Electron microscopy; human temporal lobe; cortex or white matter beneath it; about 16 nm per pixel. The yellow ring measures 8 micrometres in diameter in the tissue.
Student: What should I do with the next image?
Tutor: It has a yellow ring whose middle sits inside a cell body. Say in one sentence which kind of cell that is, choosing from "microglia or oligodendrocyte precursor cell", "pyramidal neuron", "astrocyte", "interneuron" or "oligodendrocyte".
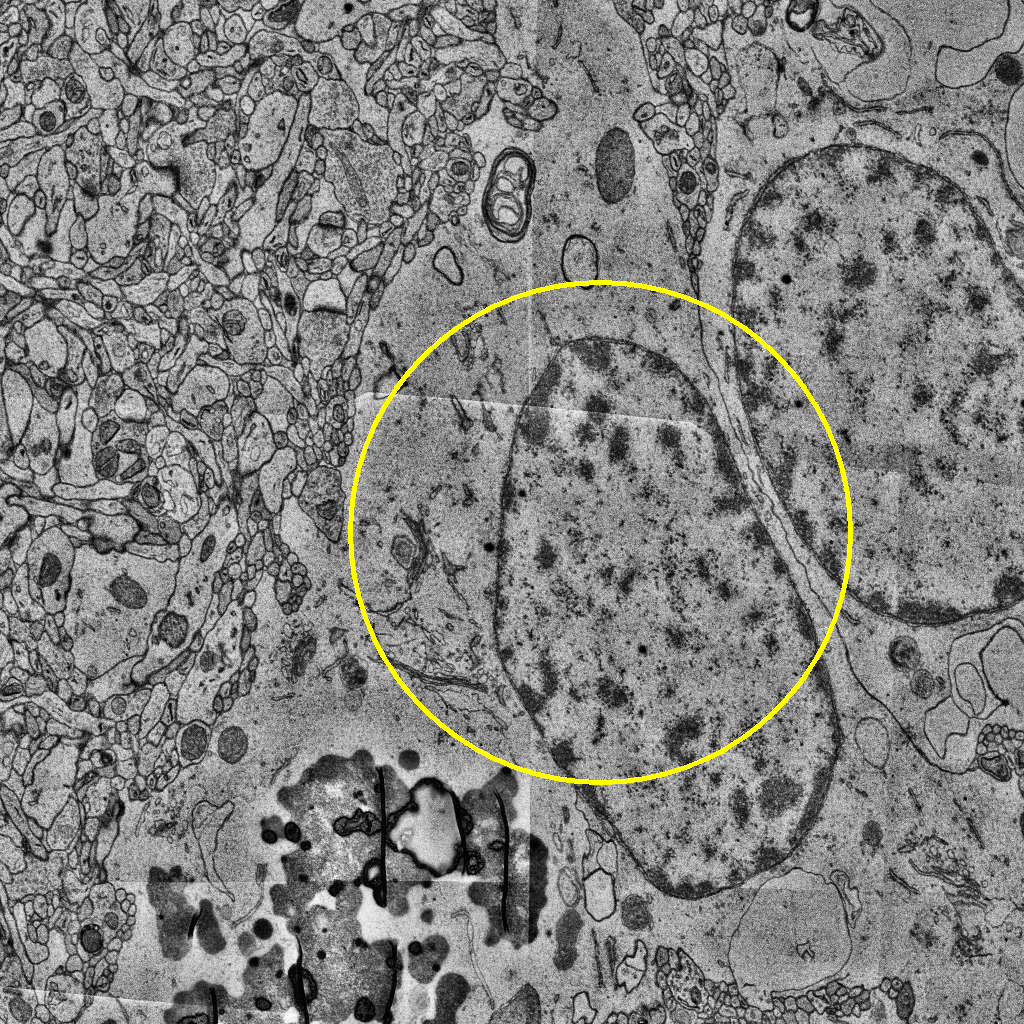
The ring's centre is occupied by an astrocyte.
